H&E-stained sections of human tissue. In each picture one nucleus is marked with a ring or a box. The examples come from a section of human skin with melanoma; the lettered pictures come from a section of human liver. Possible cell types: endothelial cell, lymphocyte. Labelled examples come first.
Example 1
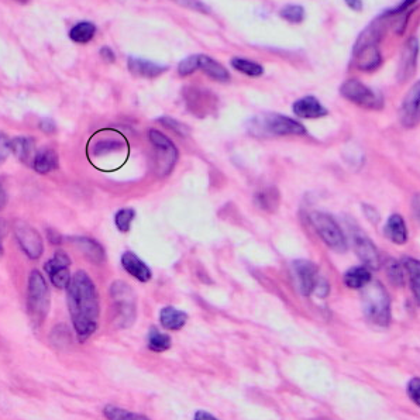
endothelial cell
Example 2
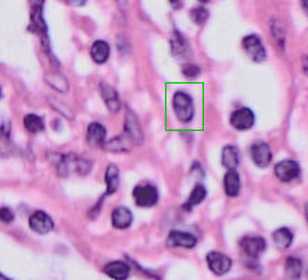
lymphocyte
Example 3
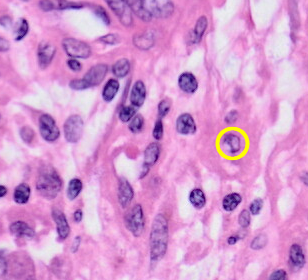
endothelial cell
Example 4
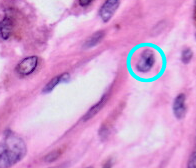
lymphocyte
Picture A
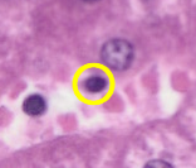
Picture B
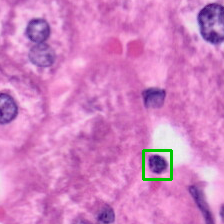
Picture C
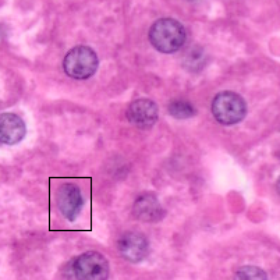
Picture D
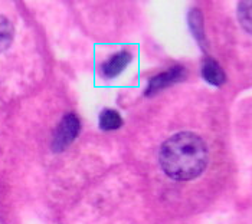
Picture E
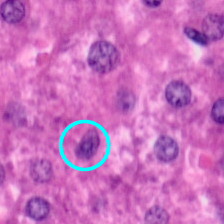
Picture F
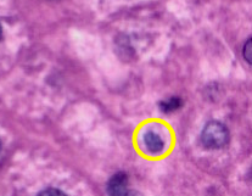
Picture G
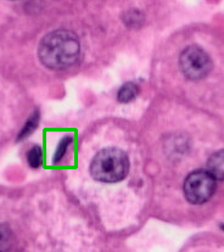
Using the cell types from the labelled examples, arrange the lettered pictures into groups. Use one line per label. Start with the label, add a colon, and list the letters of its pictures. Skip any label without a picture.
endothelial cell: C, E, G
lymphocyte: A, B, D, F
